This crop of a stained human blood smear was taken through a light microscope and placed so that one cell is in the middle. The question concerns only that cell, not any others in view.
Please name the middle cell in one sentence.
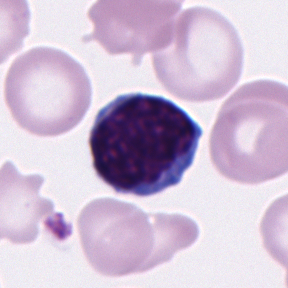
What sits at the centre of this crop is a typical lymphocyte.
